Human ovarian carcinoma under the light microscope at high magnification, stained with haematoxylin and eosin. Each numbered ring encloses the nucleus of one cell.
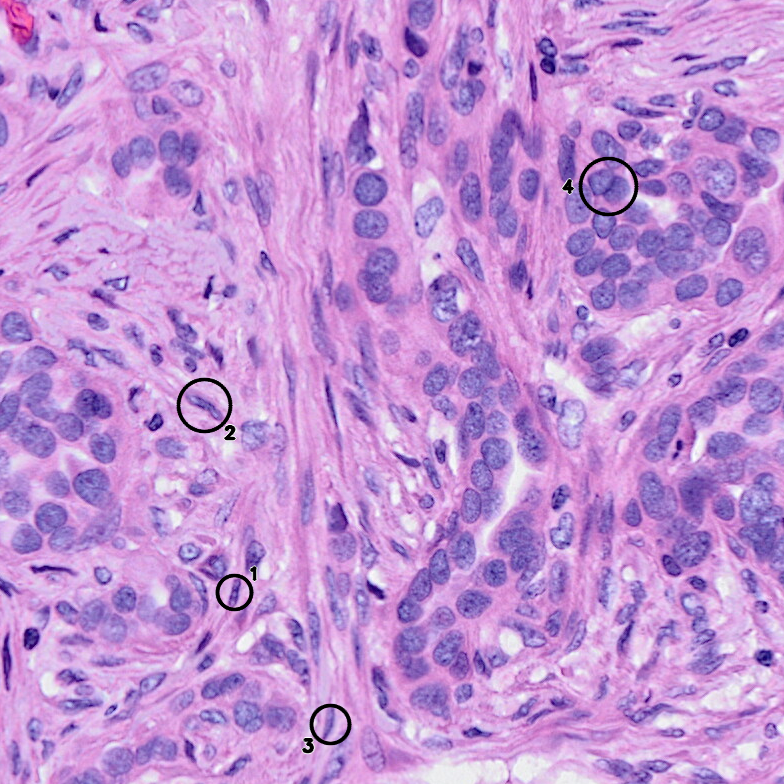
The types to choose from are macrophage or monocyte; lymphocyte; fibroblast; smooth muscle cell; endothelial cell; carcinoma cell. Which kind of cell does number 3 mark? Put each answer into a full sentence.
That cell with number 3 is a fibroblast.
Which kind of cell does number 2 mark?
Of the numbered cells, the one labelled 2 is a fibroblast.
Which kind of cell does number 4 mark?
Heads up, the cell numbered 4 is a carcinoma cell.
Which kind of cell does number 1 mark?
Recognised here as a fibroblast is the cell numbered 1.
